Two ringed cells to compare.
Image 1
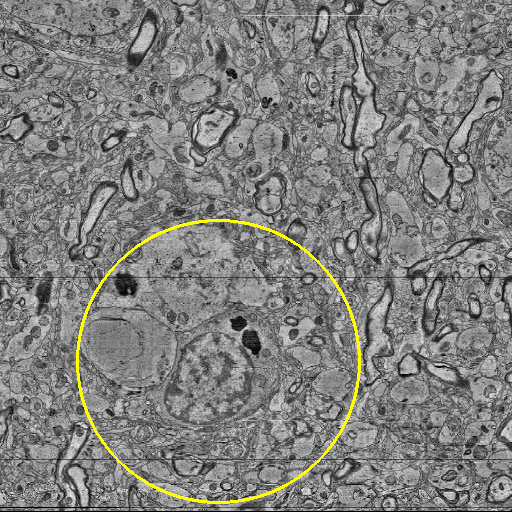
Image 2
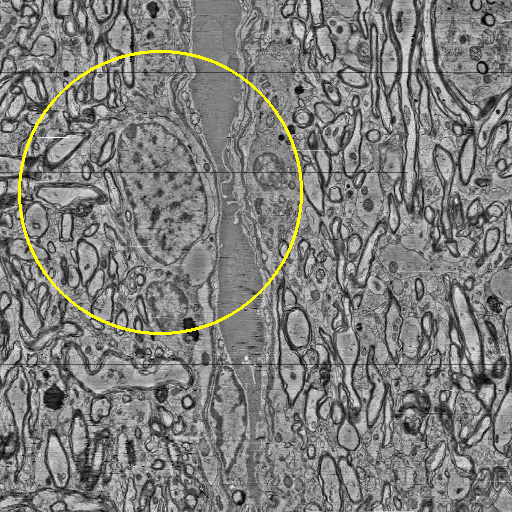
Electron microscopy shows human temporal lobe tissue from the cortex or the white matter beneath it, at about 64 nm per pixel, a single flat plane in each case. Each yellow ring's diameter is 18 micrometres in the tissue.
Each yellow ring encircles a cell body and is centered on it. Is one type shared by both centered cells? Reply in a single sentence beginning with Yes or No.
No, two types are found among the cells at the centers of the rings.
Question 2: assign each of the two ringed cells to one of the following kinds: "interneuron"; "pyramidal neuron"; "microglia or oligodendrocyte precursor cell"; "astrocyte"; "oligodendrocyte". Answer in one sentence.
The two cells are an oligodendrocyte in the first picture and a microglial cell or oligodendrocyte precursor cell in the second.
